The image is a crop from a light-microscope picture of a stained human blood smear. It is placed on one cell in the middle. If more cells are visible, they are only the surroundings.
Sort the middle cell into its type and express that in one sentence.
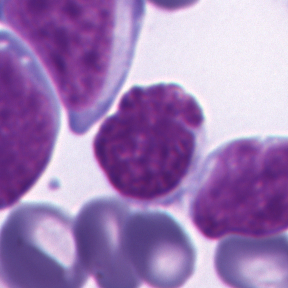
By classification, the middle cell of this crop is a blast.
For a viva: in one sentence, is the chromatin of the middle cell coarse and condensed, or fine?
The chromatin in this nucleus is coarsely clumped.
